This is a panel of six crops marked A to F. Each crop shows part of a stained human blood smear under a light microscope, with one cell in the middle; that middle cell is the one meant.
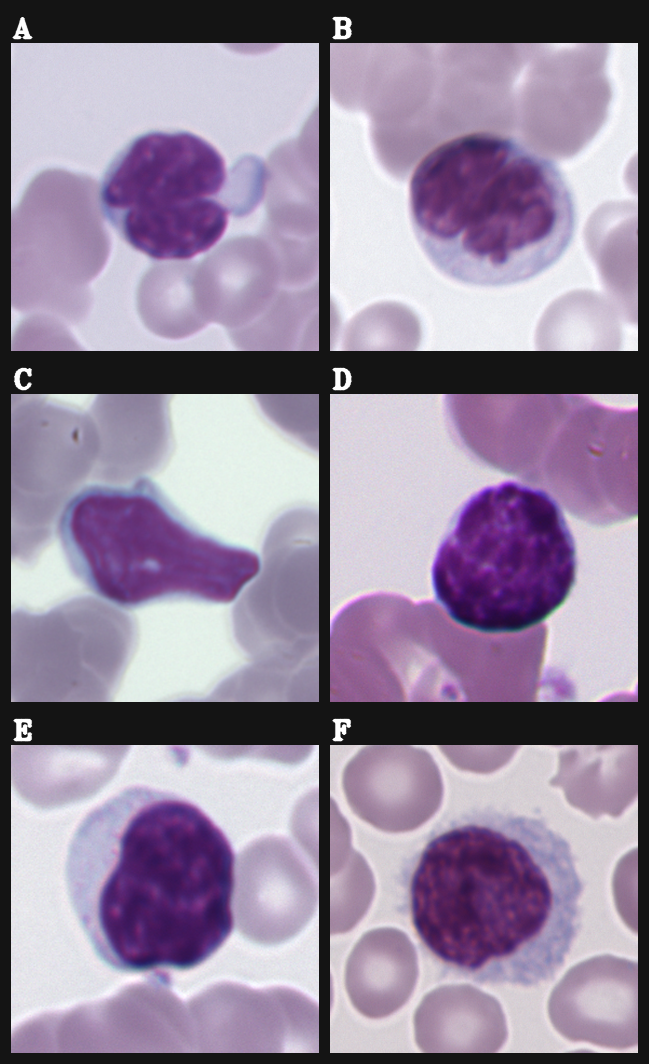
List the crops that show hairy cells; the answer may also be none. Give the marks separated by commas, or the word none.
F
